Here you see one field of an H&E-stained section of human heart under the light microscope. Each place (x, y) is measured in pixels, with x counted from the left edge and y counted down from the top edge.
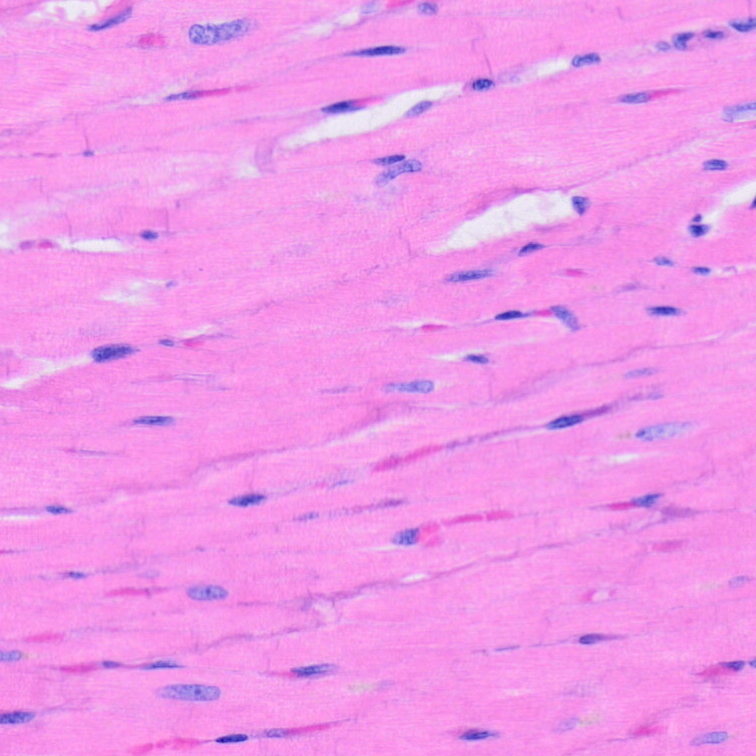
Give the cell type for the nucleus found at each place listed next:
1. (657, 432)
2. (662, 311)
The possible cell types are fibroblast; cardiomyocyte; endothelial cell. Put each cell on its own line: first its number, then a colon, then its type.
1: cardiomyocyte
2: endothelial cell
